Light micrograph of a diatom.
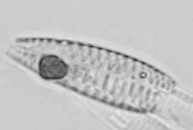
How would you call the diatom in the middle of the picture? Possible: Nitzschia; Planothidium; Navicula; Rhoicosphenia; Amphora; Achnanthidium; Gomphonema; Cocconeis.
I would call it Rhoicosphenia.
